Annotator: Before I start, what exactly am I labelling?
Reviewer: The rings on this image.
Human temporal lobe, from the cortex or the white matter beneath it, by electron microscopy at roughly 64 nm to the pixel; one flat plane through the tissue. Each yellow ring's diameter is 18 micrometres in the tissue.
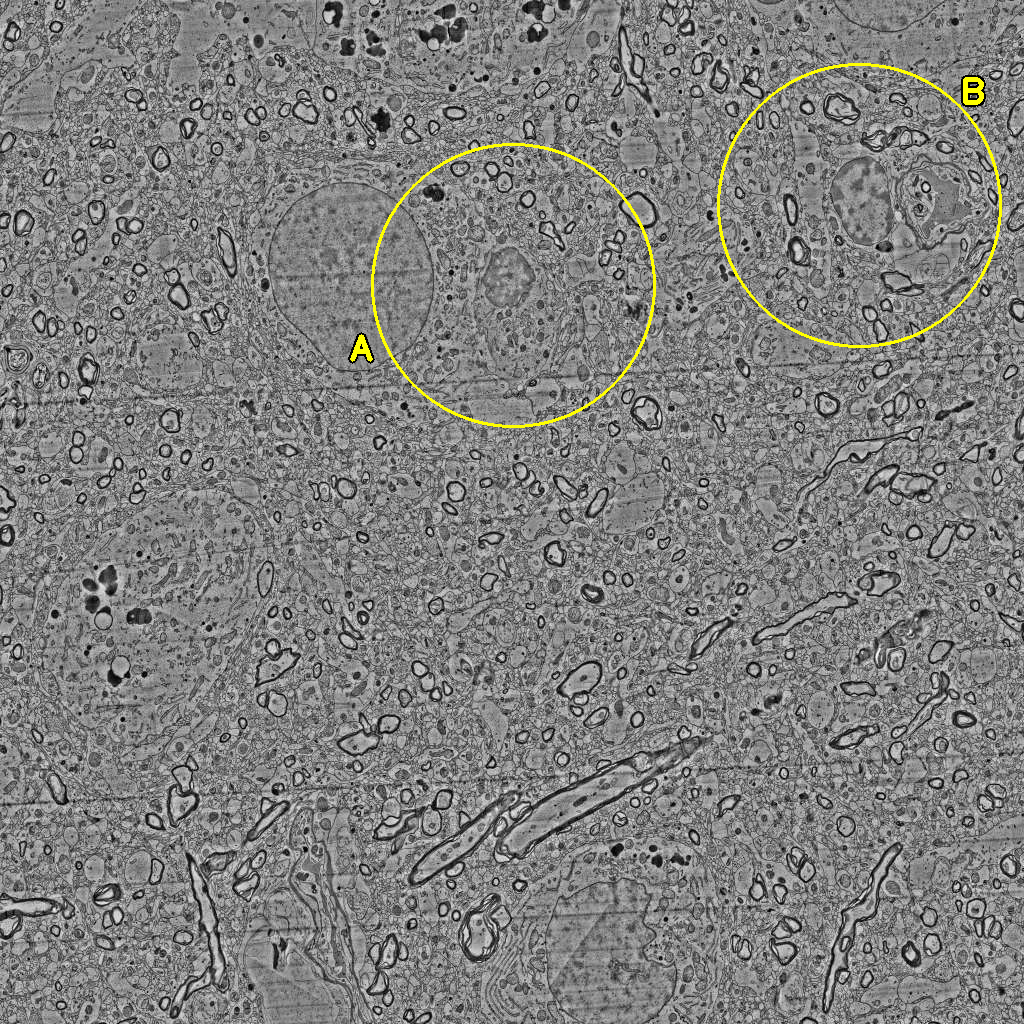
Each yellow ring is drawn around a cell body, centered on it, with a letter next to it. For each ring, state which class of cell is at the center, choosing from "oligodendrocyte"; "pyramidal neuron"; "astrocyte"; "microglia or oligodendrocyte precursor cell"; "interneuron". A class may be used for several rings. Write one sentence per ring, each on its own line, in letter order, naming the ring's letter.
At the center of ring A we have an oligodendrocyte.
At the center of ring B we have a microglial cell or oligodendrocyte precursor cell.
